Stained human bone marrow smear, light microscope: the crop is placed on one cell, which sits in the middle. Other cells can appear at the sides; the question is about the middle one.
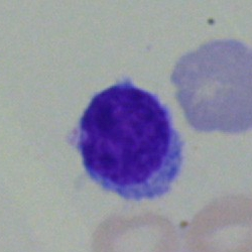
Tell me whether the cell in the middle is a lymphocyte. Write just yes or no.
yes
